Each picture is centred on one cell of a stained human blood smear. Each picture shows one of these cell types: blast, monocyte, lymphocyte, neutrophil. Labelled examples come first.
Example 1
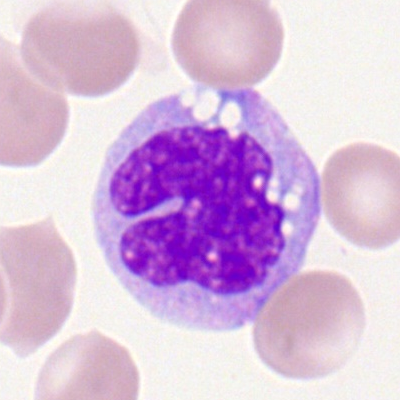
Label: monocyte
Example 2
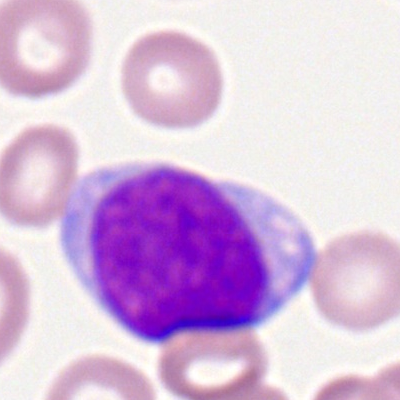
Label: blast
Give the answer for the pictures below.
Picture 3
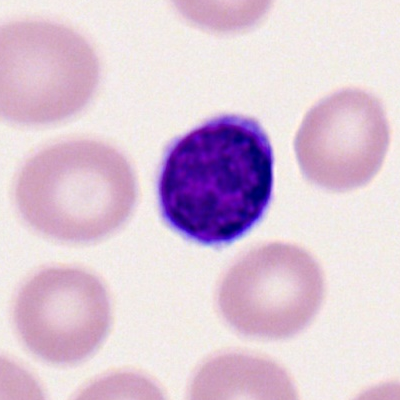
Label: lymphocyte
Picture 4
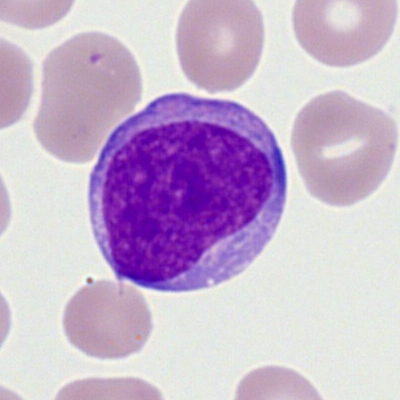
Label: blast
